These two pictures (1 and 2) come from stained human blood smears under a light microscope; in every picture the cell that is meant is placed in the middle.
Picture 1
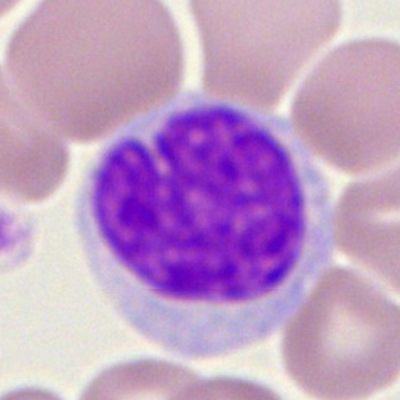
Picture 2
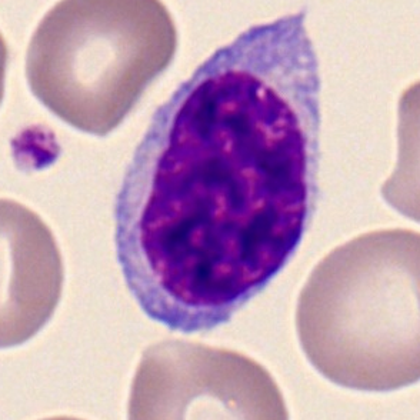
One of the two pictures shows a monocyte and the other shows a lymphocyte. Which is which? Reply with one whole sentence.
Picture 1 shows a monocyte and picture 2 shows a lymphocyte.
